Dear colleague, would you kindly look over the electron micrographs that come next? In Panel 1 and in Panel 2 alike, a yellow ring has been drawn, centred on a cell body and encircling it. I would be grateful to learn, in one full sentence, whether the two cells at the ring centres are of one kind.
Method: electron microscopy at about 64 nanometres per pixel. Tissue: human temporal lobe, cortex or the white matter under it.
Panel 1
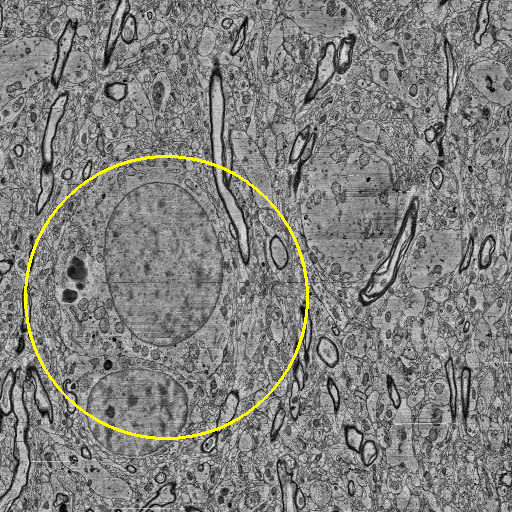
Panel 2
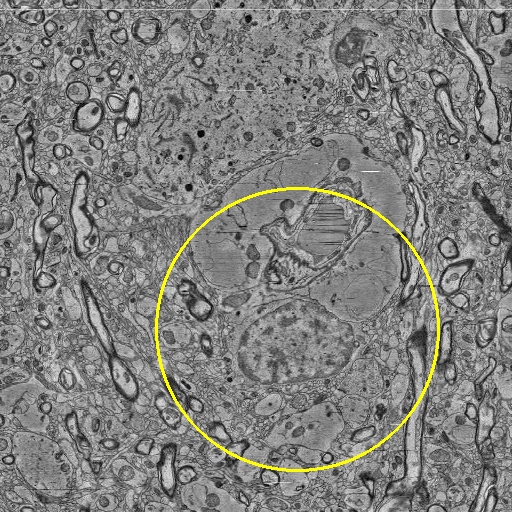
No, the cells in the middle of the rings in the two panels are of two kinds.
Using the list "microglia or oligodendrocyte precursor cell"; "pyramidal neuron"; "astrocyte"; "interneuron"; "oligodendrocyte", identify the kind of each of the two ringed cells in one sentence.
The first is an interneuron and the second is an oligodendrocyte.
